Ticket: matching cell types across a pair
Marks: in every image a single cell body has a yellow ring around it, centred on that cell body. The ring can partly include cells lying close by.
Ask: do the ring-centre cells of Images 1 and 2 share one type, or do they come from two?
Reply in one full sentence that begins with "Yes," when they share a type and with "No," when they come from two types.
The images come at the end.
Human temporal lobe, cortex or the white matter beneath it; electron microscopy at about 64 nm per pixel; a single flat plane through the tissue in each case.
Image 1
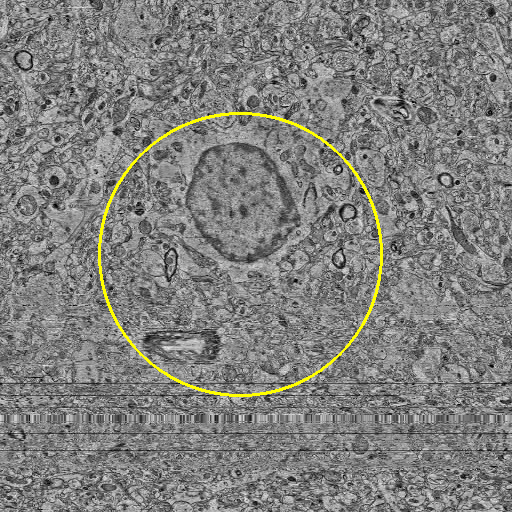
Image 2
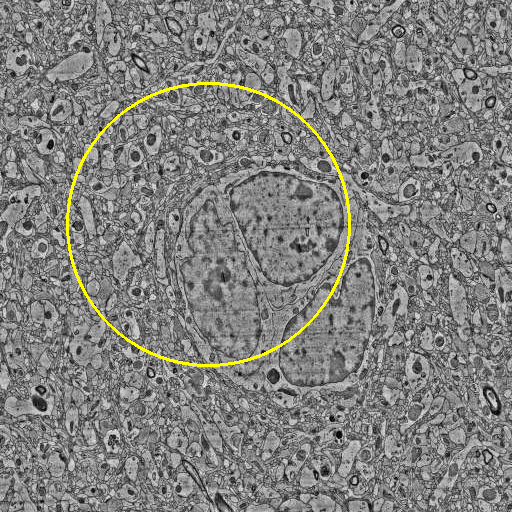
No, the cells in the centres of the rings in Image 1 and Image 2 come from two types.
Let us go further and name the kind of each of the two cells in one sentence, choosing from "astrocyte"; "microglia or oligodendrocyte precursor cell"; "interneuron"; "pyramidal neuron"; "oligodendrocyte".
The ring of the first picture is on an astrocyte, the ring of the second on an interneuron.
